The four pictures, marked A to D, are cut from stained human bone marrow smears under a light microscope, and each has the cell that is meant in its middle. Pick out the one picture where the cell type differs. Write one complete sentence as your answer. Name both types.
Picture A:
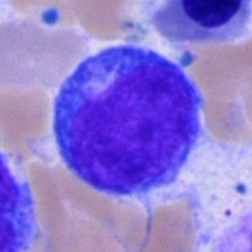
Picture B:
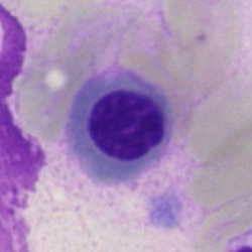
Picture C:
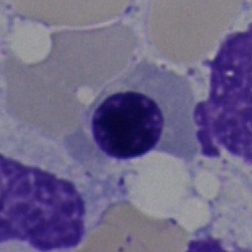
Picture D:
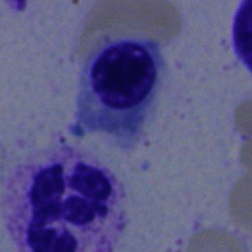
The others show erythroblasts, but picture A shows a blast.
